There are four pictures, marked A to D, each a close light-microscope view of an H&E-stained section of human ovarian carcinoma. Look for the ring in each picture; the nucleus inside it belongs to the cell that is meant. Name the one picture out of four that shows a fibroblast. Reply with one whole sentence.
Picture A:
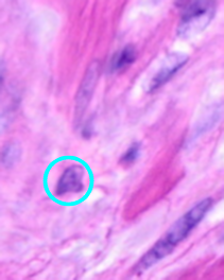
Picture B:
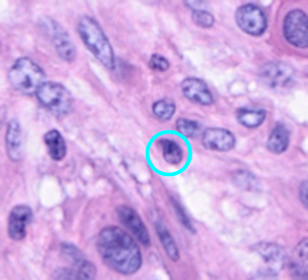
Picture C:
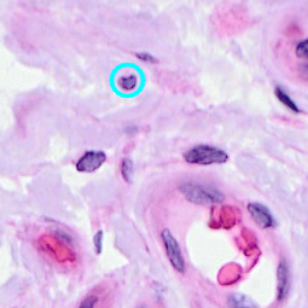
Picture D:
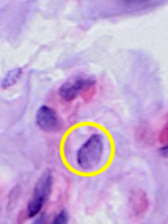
The fibroblast is the one in picture D.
